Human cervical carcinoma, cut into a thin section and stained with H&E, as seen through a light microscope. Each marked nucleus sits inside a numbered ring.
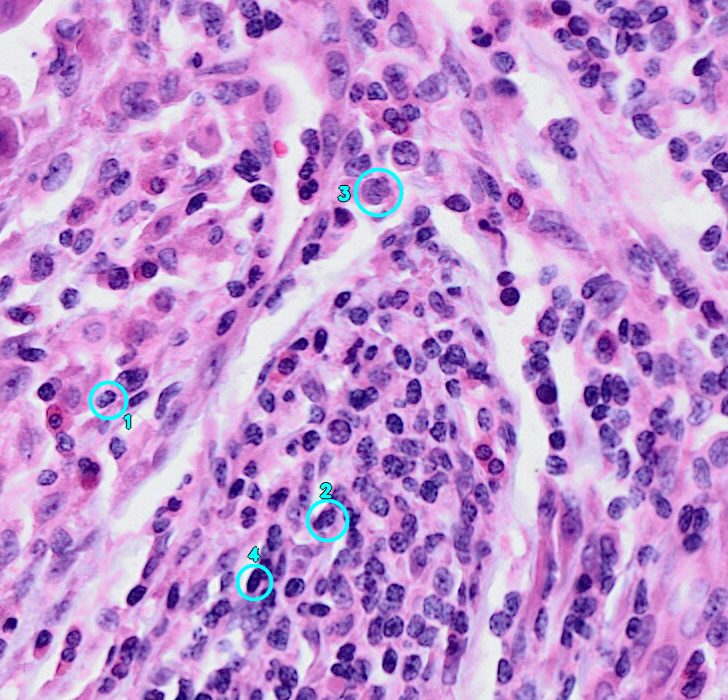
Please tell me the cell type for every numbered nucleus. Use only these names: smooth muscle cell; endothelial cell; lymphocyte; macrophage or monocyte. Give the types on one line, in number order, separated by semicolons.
lymphocyte; lymphocyte; macrophage or monocyte; lymphocyte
